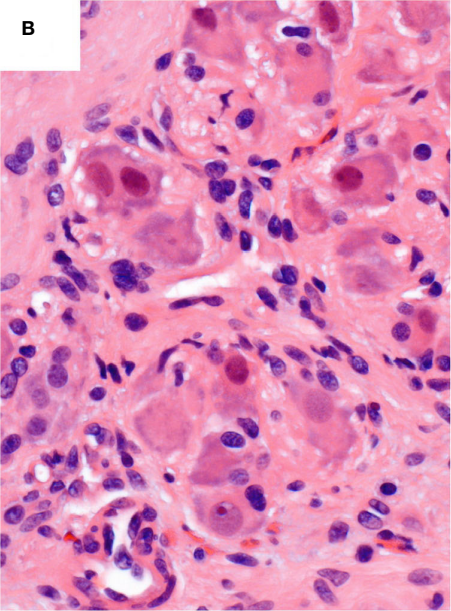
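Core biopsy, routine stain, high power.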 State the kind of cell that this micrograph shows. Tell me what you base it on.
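Ganglion cells. Large cells with abundant pink cytoplasm. Large cells lie in clusters among small spindle nuclei.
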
